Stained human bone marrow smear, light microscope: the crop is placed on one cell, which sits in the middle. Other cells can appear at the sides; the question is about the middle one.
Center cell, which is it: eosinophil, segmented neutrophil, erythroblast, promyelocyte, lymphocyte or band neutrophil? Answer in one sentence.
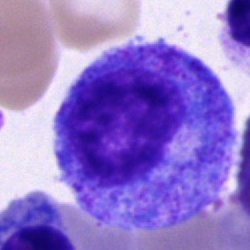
Where the crop is centred, there is a promyelocyte.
